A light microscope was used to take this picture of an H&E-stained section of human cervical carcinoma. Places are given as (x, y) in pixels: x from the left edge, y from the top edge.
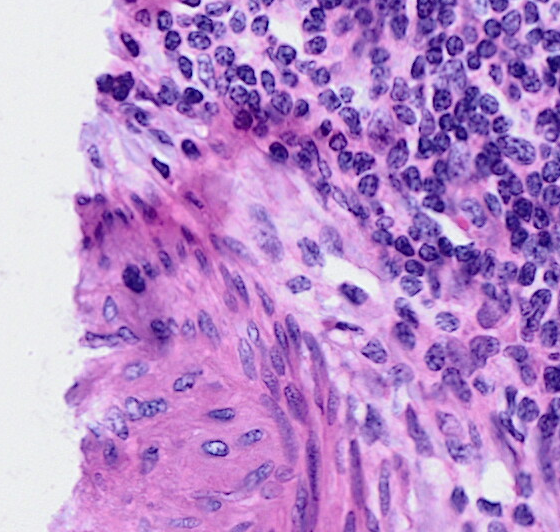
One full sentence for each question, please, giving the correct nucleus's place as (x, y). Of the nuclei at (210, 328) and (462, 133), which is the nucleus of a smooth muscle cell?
Of these two nuclei, it is the one at (210, 328) that belongs to a smooth muscle cell.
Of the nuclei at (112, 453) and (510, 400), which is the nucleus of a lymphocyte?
Of the two, the nucleus lying at (510, 400) is the one belonging to a lymphocyte.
